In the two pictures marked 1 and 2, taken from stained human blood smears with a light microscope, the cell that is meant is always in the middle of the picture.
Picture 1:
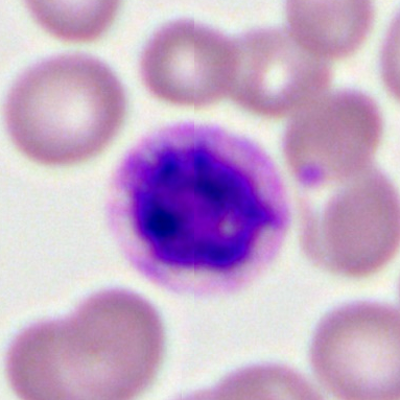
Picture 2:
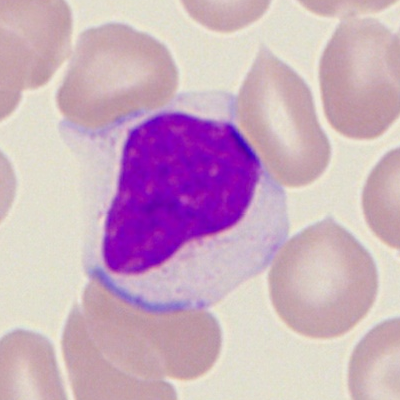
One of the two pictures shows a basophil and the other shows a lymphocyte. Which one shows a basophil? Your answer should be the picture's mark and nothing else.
1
